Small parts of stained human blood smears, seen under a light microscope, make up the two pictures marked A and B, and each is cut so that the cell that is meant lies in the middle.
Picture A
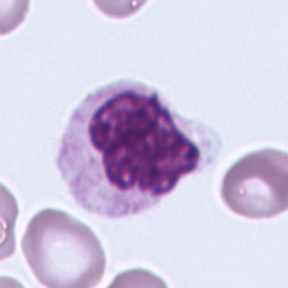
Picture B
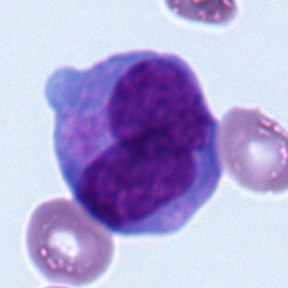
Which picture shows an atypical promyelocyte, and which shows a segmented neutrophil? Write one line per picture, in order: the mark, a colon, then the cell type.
A: segmented neutrophil
B: atypical promyelocyte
